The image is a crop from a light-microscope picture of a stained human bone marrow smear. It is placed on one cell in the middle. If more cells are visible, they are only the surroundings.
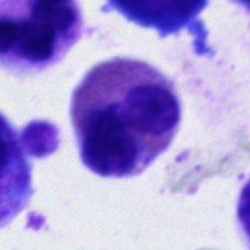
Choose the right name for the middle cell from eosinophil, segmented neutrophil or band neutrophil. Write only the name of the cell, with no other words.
eosinophil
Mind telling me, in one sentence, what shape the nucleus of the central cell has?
The key feature is a nucleus with multiple lobes.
